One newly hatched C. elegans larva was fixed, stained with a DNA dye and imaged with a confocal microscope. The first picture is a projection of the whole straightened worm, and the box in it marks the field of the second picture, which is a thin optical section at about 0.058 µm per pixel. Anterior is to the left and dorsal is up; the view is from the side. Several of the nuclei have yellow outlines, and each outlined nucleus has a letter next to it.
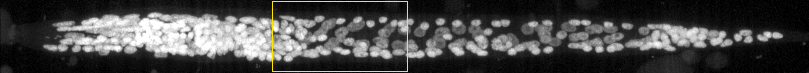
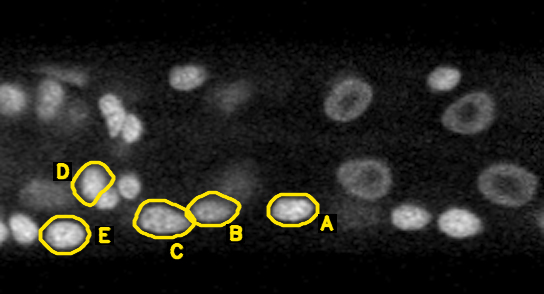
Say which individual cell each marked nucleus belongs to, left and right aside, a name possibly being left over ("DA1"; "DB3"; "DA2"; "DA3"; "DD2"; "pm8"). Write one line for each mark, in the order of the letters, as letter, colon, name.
A: DD2
B: DA2
C: DB3
D: pm8
E: DA1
